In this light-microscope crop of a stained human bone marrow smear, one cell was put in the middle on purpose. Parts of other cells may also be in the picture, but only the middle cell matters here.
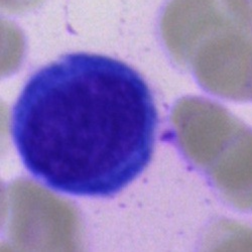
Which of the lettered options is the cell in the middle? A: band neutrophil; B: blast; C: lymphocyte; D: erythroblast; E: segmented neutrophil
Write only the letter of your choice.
B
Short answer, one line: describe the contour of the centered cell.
Worth noting that the cell border is smooth and lacks projections.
